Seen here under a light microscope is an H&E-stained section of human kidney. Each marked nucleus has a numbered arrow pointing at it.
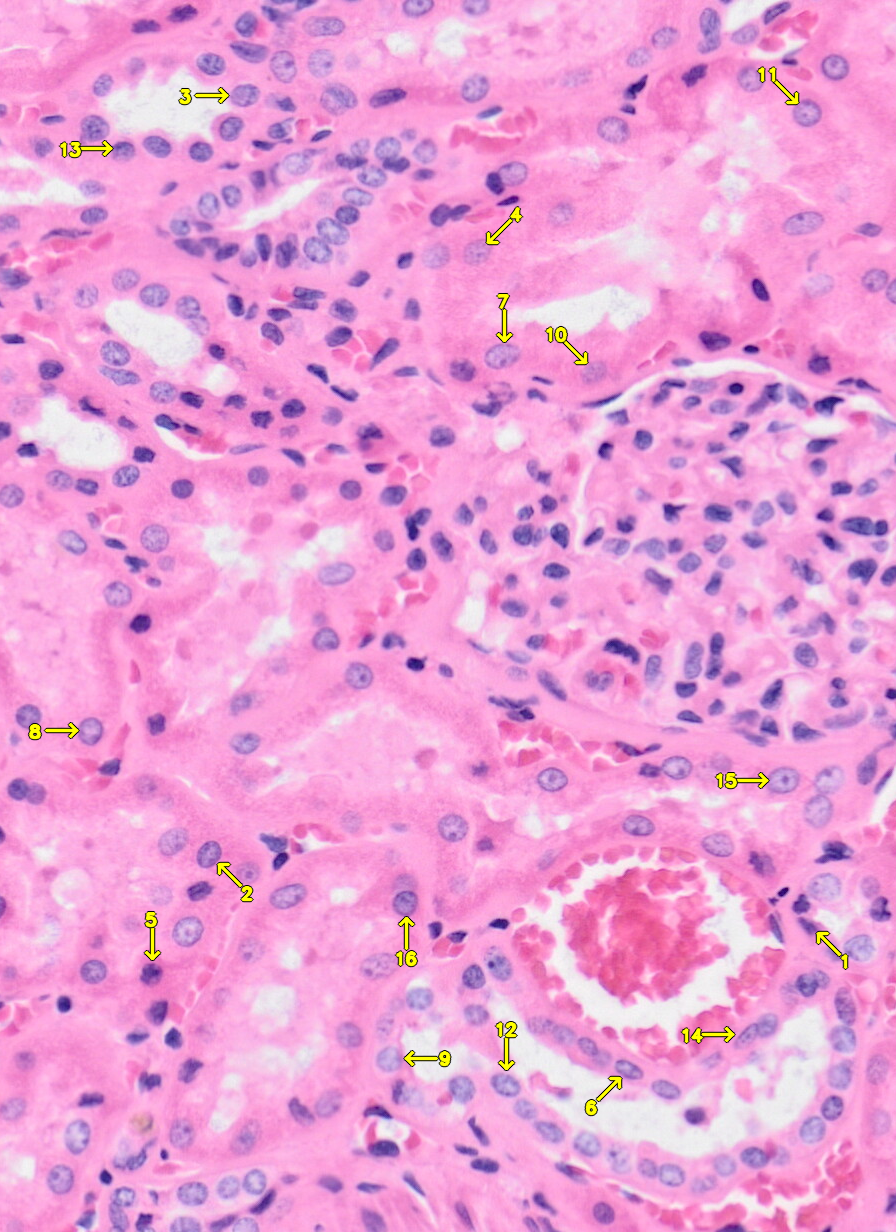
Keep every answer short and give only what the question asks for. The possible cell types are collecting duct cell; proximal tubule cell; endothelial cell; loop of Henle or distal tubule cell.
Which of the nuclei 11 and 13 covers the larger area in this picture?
11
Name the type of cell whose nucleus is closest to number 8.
endothelial cell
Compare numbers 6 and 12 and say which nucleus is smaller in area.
6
